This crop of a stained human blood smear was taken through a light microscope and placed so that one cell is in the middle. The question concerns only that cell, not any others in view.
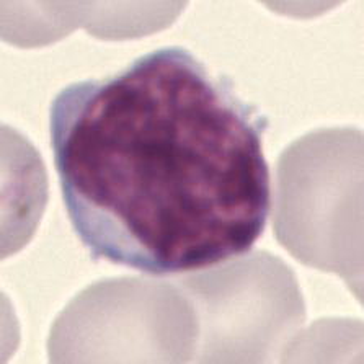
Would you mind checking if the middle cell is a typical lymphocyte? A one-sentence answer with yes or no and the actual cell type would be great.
Yes, at the centre of the crop lies a typical lymphocyte.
